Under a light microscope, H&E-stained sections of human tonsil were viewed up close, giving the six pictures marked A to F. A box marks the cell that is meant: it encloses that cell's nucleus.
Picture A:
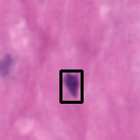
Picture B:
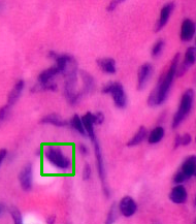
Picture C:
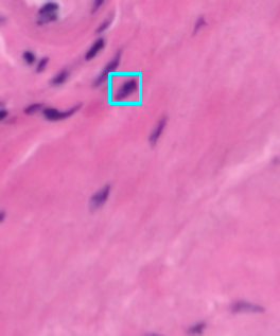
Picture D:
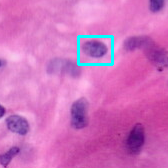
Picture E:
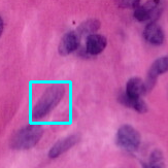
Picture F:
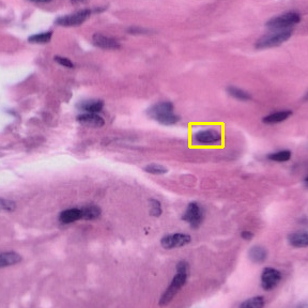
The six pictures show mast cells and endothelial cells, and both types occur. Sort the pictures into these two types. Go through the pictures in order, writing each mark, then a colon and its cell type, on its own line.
A: mast cell
B: endothelial cell
C: mast cell
D: mast cell
E: endothelial cell
F: mast cell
